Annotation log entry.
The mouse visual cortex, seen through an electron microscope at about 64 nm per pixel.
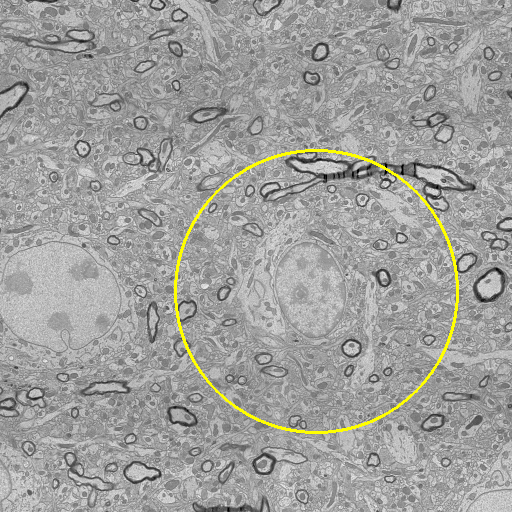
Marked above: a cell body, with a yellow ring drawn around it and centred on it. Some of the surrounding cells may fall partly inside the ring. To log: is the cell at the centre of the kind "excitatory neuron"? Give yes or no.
No, the cell at the centre is of another kind.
